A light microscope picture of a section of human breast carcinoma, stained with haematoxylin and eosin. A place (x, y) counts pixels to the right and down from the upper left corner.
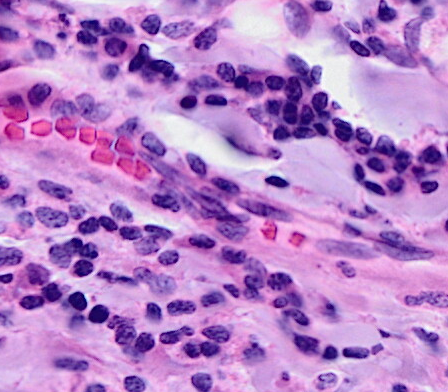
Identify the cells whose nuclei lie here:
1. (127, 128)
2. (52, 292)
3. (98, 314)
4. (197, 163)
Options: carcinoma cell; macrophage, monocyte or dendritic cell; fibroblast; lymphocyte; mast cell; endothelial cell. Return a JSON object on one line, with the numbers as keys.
{"1": "endothelial cell", "2": "lymphocyte", "3": "lymphocyte", "4": "lymphocyte"}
